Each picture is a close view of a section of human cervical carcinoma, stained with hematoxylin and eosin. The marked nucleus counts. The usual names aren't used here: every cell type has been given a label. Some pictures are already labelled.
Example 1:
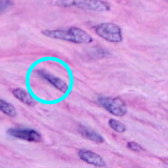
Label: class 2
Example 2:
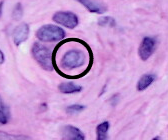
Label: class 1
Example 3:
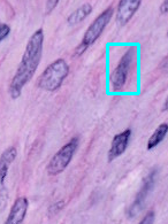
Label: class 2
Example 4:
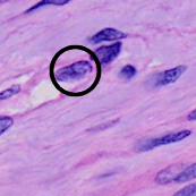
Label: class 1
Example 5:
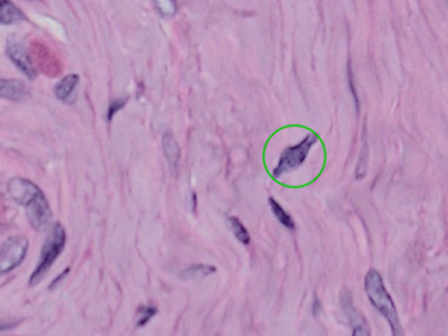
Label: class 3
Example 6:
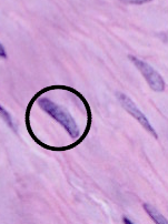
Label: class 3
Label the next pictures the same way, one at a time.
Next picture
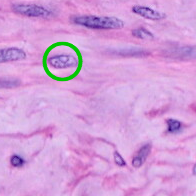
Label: class 2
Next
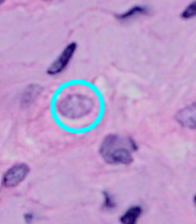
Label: class 1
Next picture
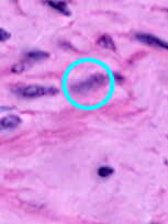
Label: class 2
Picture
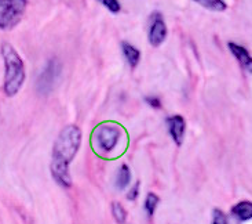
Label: class 2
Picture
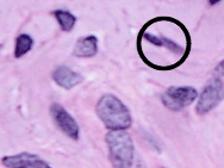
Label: class 3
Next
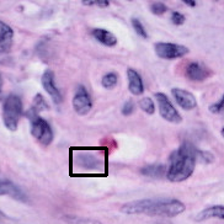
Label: class 1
